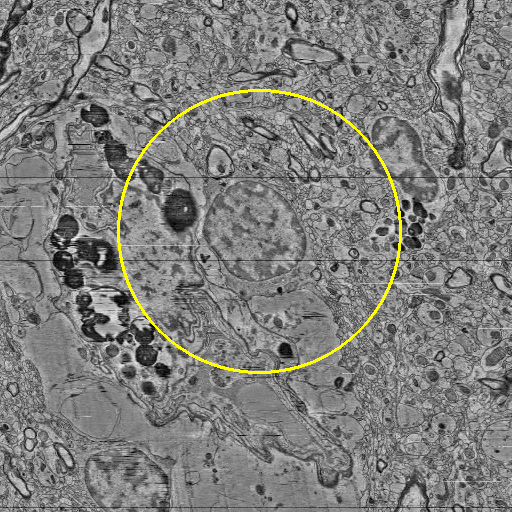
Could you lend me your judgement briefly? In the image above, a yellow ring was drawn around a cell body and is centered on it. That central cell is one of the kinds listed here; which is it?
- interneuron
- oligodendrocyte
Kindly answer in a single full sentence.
Going by the list, an oligodendrocyte is the kind at the ring's center in the picture.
